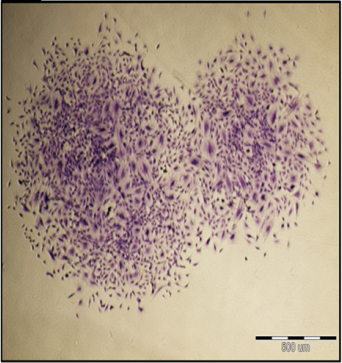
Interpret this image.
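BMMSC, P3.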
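Two adjacent colonies of cultured cells stained purple. Each is a dense rounded cluster of spindle-shaped cells, crowded at the centre and scattered singly at the margins, and the two colonies meet along a shared border.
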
